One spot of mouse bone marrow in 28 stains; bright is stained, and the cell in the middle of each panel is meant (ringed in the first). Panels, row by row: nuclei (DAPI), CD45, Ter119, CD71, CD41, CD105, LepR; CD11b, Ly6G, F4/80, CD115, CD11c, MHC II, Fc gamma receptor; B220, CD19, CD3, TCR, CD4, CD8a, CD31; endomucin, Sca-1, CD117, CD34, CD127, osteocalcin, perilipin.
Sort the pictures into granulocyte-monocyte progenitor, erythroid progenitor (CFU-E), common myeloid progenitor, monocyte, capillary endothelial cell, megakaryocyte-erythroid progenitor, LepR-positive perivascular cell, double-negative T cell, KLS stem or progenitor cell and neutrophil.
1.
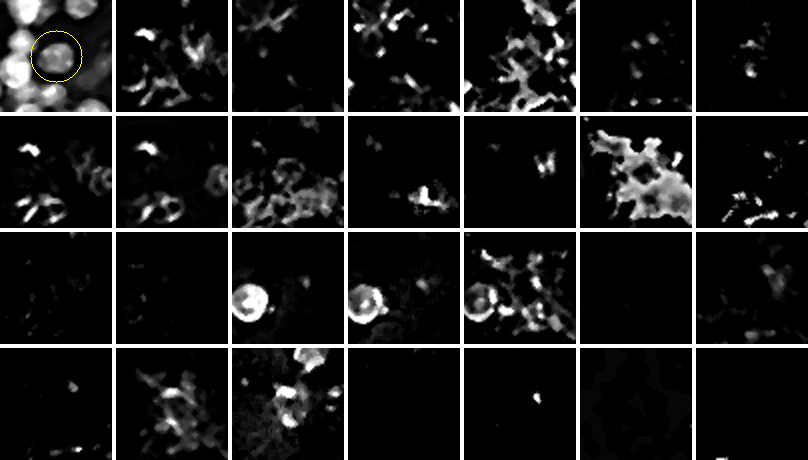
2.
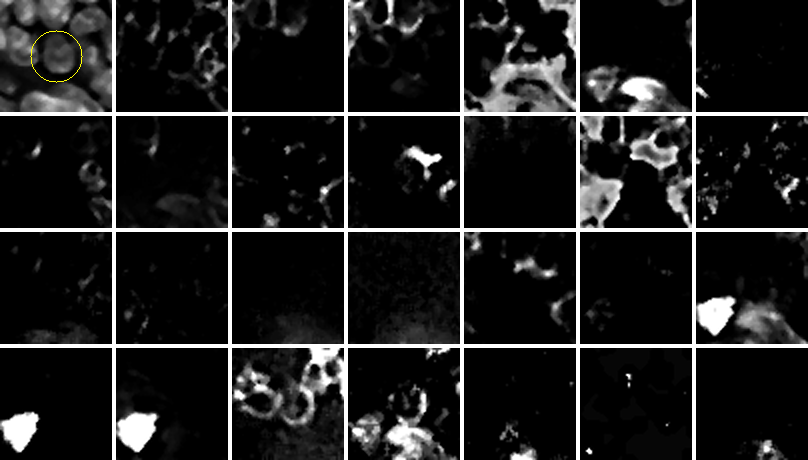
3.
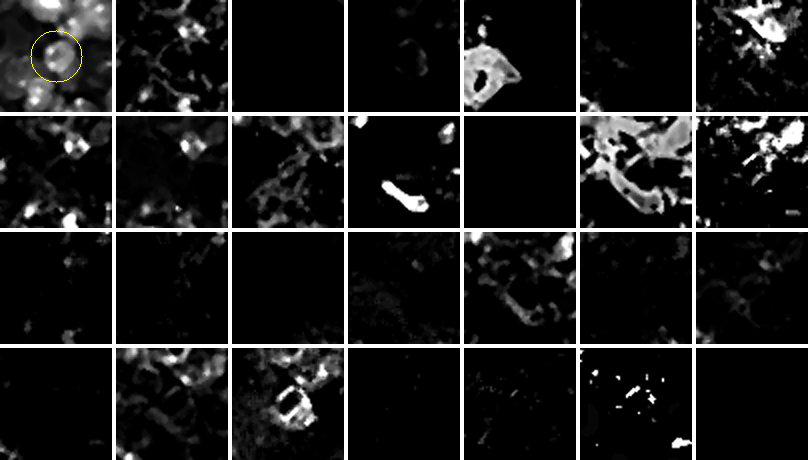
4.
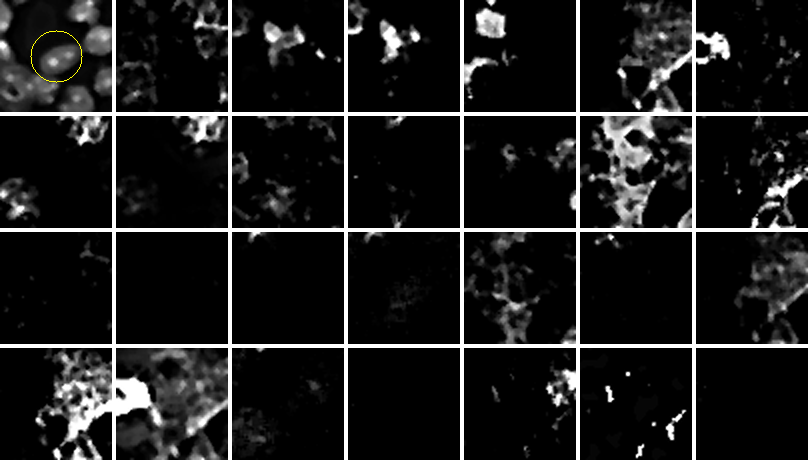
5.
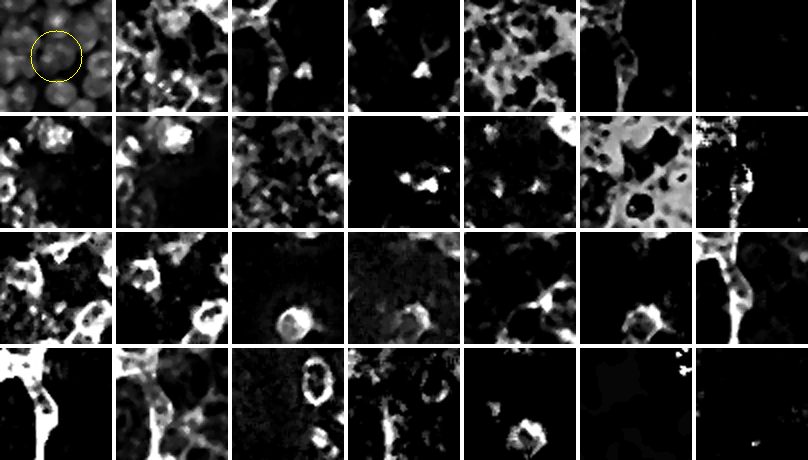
KLS stem or progenitor cells: 1
Megakaryocyte-erythroid progenitors: 2
Granulocyte-monocyte progenitors: 3
Capillary endothelial cells: 4, 5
